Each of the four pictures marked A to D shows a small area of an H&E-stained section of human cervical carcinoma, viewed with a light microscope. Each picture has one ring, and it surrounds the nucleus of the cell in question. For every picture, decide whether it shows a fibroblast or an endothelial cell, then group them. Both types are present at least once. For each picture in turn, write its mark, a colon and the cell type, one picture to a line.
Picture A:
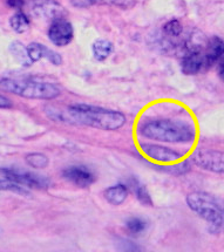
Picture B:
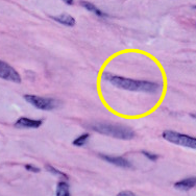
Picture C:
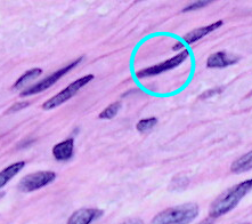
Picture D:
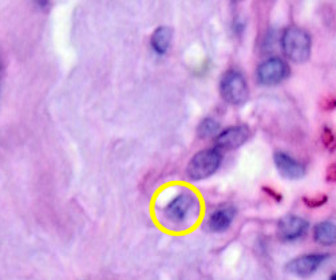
A: endothelial cell
B: fibroblast
C: fibroblast
D: endothelial cell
